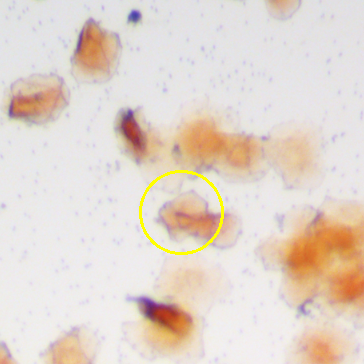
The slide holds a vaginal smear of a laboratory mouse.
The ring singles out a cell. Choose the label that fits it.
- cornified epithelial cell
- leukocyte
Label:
cornified epithelial cell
